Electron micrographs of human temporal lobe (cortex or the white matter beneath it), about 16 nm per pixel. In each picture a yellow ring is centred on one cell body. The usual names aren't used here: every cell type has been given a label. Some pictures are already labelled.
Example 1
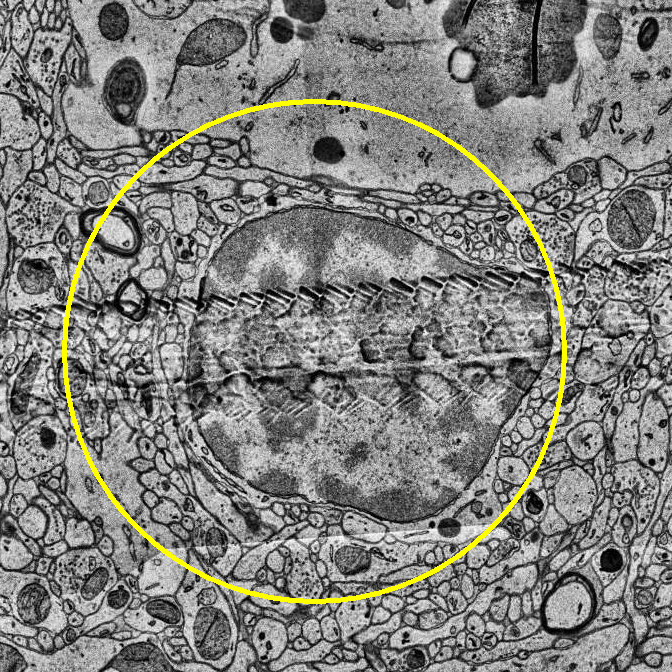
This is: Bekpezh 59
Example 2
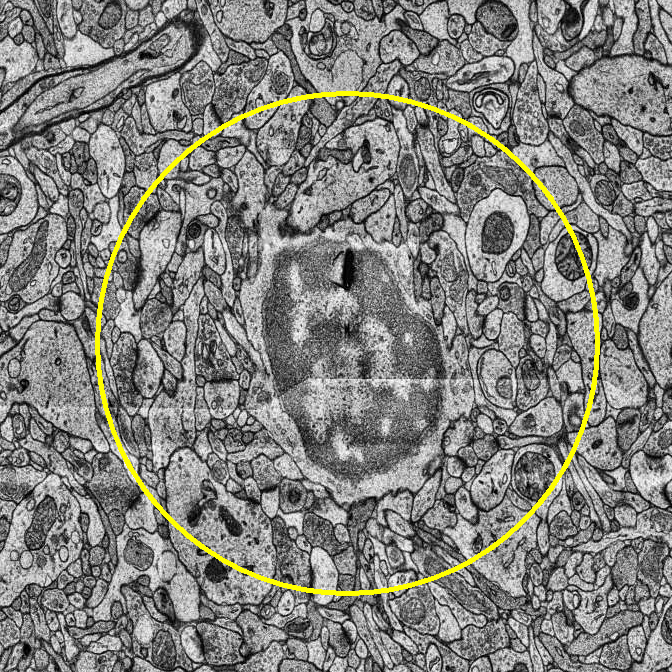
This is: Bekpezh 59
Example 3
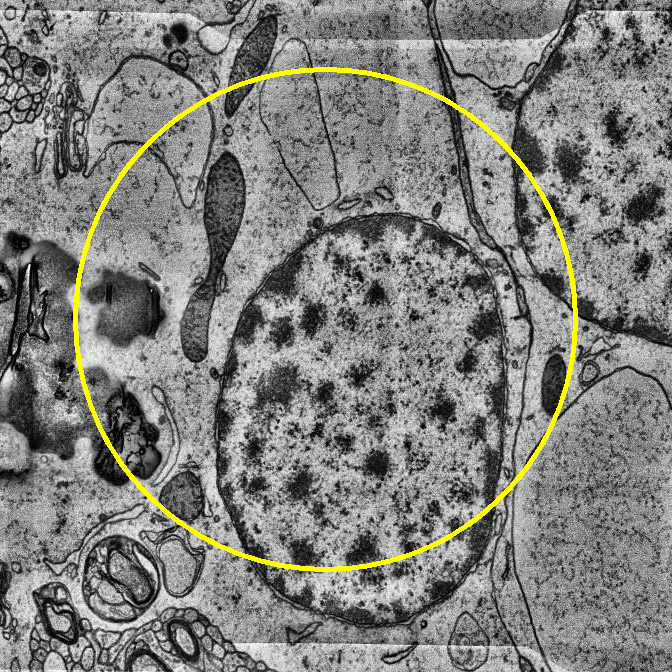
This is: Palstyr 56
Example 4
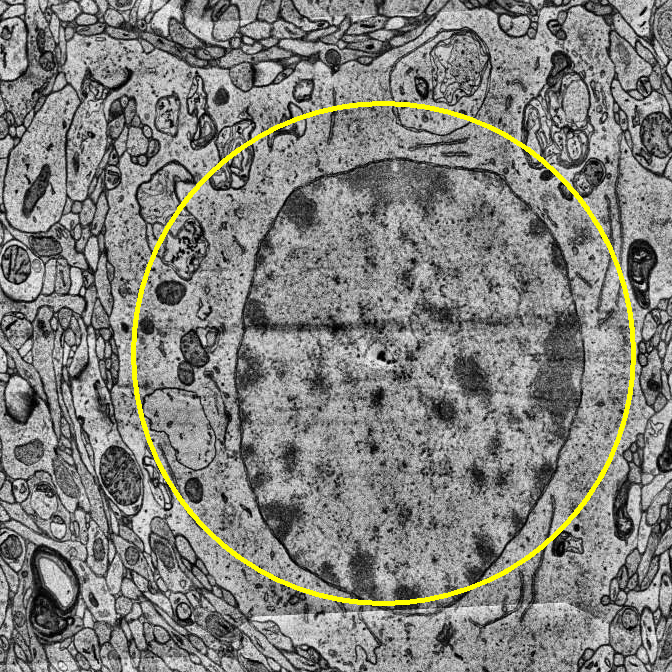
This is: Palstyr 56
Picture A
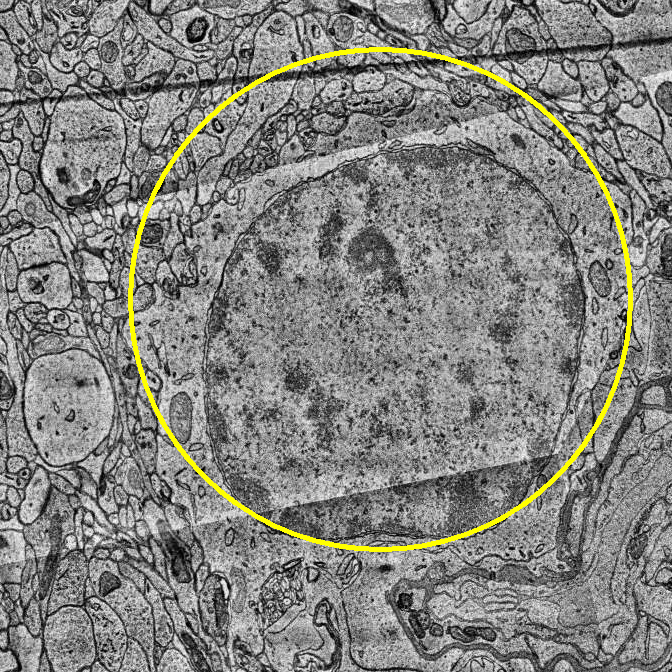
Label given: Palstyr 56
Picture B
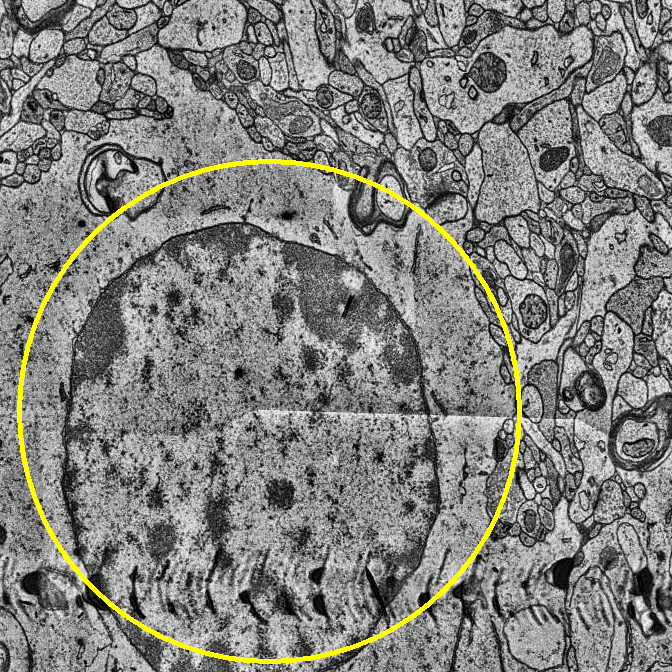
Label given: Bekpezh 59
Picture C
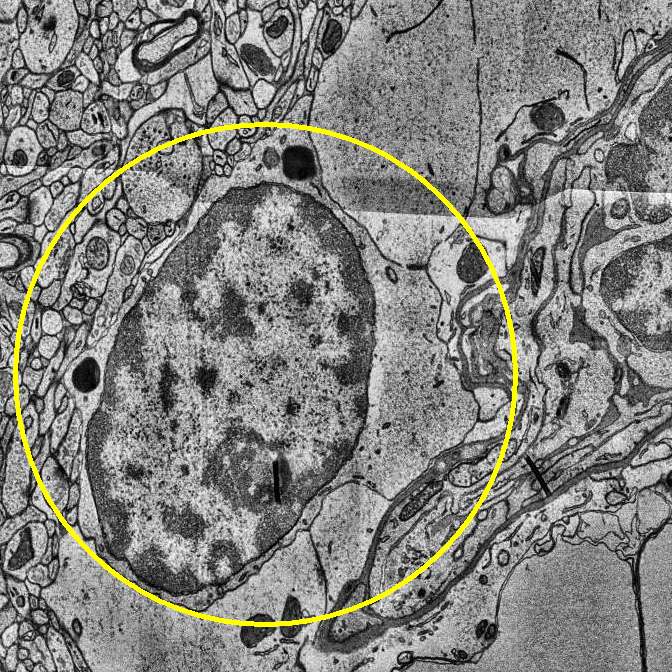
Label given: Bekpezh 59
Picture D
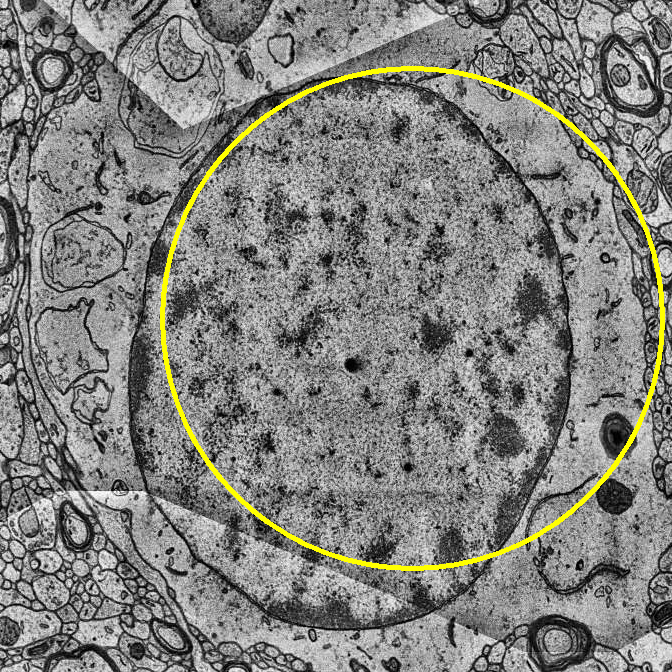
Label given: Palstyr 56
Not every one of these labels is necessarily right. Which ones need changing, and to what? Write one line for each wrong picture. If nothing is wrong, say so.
A: Bekpezh 59, not Palstyr 56
B: Palstyr 56, not Bekpezh 59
